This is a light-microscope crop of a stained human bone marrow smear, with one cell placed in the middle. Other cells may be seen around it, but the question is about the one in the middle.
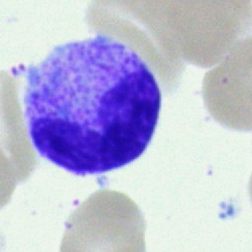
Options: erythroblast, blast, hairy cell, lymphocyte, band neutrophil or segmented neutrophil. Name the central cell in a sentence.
Looking at the middle of the crop, the cell there is a band neutrophil.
